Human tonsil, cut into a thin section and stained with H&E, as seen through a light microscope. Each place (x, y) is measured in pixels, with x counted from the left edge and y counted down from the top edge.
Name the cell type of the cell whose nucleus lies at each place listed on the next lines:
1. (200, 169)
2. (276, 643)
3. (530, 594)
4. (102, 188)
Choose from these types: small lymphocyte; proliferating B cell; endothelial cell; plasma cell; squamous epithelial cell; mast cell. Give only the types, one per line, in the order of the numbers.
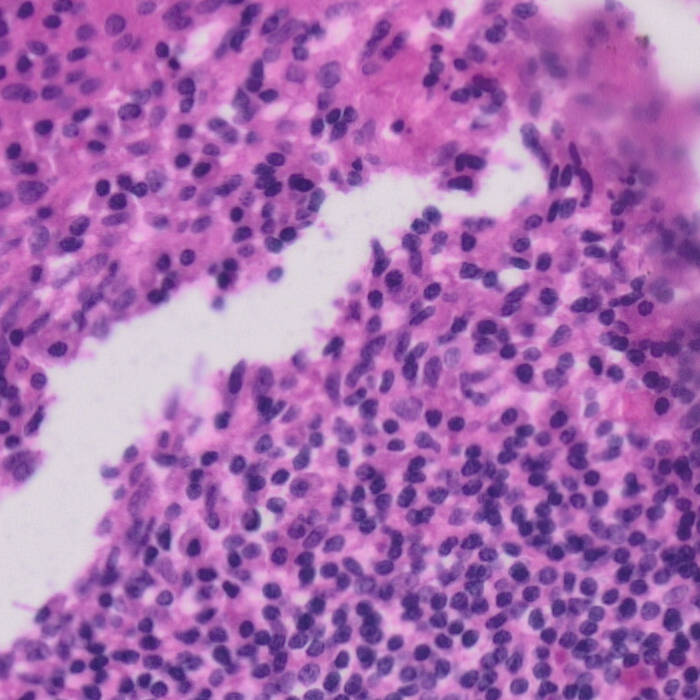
plasma cell
small lymphocyte
small lymphocyte
plasma cell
